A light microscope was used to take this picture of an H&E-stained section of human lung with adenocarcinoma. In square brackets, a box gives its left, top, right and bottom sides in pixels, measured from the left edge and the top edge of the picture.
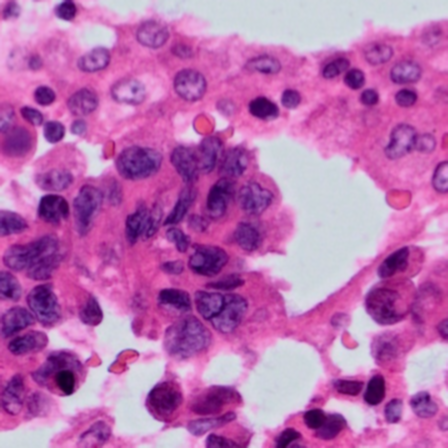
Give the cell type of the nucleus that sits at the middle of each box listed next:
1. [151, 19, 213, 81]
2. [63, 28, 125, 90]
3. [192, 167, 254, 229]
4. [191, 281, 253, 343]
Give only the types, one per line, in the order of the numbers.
macrophage or monocyte
macrophage or monocyte
carcinoma cell
carcinoma cell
